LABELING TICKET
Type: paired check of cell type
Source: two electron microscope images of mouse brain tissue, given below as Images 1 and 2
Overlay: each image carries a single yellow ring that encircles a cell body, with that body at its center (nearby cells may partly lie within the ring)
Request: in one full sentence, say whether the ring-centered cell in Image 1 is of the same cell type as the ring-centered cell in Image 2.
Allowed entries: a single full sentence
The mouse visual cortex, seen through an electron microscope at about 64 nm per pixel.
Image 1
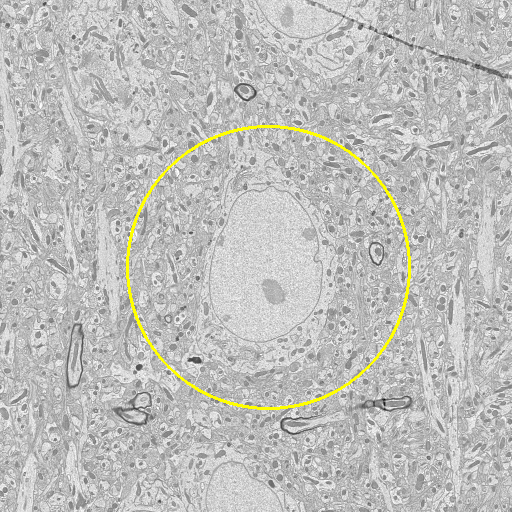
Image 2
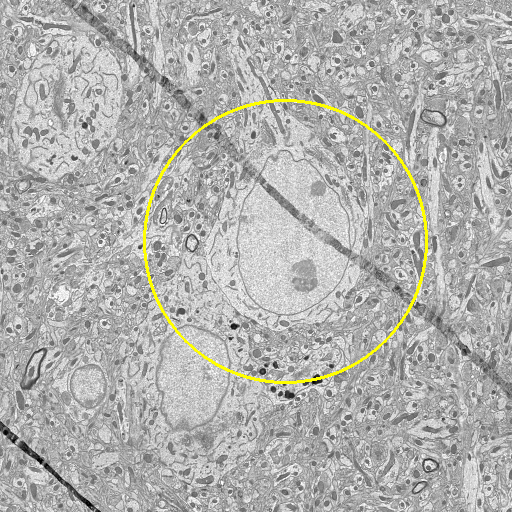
Yes, the cells centered in the rings of Image 1 and Image 2 share one type.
